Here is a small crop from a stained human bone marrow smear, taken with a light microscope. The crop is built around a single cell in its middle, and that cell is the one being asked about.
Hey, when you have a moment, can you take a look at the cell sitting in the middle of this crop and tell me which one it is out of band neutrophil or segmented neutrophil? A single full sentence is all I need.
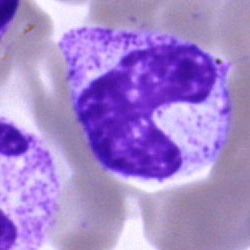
The cell centred in this crop is categorized as a band neutrophil.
